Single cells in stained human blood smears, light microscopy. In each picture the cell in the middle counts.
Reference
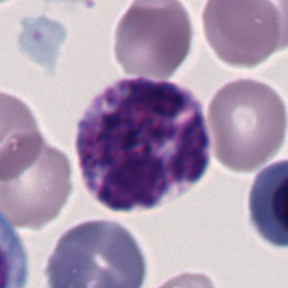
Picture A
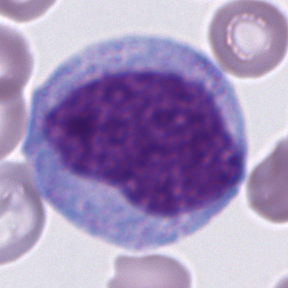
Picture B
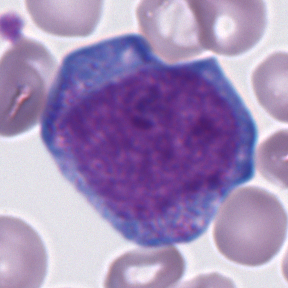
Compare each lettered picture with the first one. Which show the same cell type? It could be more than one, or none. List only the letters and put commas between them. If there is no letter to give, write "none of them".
none of them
